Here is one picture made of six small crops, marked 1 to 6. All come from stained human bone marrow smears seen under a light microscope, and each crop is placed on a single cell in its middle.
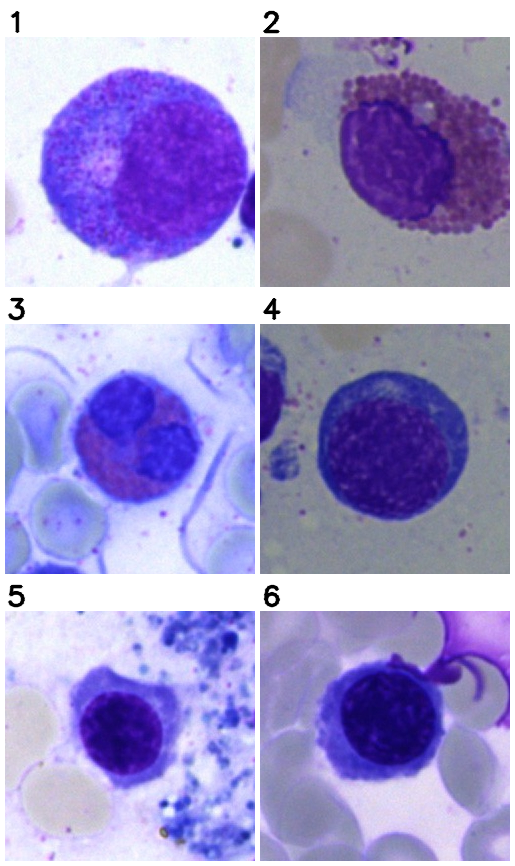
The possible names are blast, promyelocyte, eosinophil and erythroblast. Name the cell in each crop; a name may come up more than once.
1: promyelocyte
2: eosinophil
3: eosinophil
4: erythroblast
5: erythroblast
6: erythroblast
